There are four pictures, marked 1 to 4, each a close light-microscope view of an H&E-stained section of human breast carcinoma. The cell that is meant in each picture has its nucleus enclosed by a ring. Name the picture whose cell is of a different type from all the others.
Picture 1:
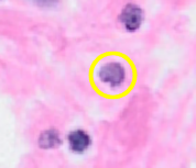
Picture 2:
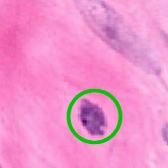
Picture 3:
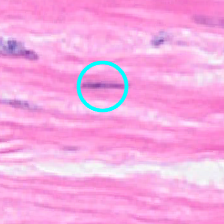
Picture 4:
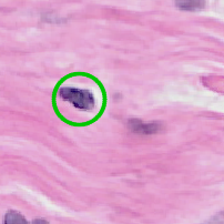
3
